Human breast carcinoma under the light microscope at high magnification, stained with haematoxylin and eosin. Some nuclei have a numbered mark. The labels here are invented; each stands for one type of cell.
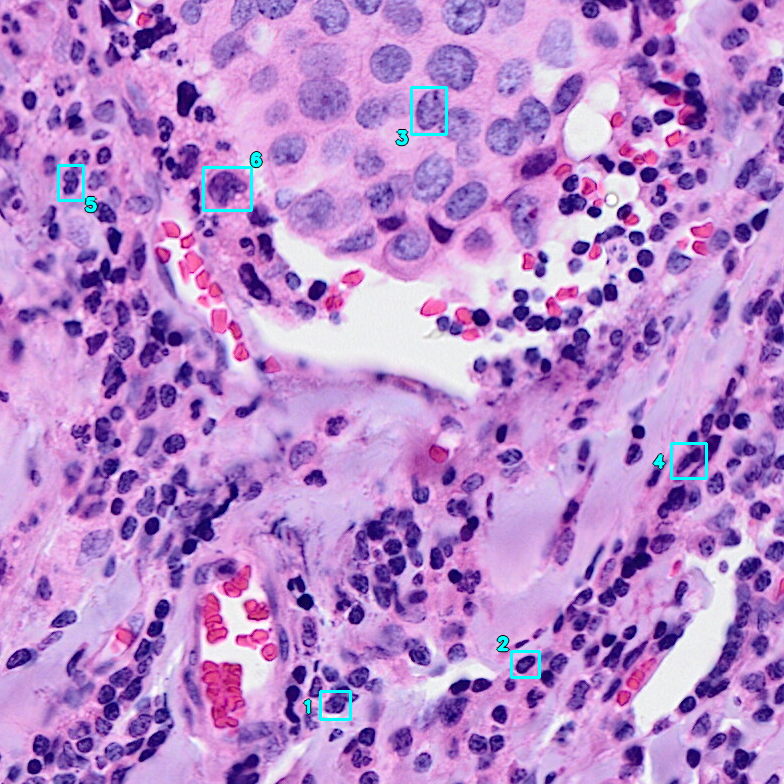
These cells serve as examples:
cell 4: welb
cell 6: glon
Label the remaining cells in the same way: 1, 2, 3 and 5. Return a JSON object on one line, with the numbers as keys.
{"1": "welb", "2": "welb", "3": "glon", "5": "welb"}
